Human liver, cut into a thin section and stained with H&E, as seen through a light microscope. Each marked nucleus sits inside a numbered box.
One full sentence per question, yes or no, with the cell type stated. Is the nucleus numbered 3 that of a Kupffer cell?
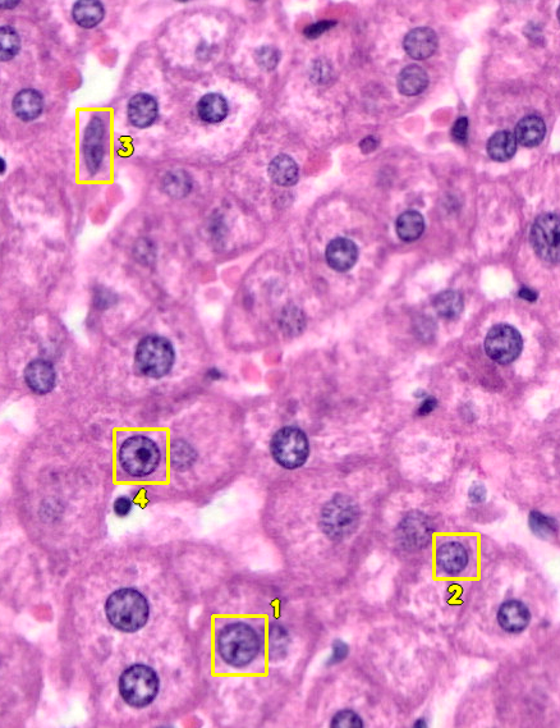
Yes, to put it simply, cell number 3 is a Kupffer cell.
